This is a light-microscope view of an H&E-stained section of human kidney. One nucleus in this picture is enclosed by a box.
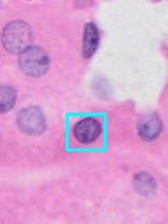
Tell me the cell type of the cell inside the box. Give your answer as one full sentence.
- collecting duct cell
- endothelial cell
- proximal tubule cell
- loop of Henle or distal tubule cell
It is as a proximal tubule cell that the cell inside the box is recorded.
